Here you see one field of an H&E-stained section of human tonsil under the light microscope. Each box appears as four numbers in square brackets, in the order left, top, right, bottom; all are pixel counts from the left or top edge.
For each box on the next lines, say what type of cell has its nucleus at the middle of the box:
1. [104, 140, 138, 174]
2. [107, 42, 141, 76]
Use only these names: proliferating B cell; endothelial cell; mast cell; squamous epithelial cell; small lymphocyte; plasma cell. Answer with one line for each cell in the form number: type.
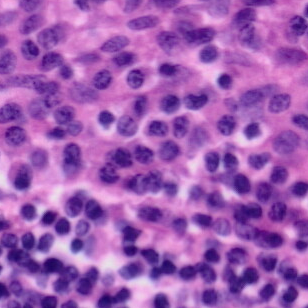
1: plasma cell
2: squamous epithelial cell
